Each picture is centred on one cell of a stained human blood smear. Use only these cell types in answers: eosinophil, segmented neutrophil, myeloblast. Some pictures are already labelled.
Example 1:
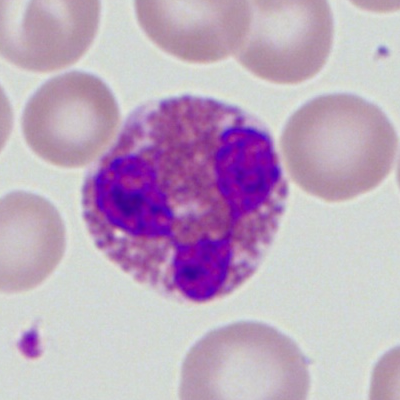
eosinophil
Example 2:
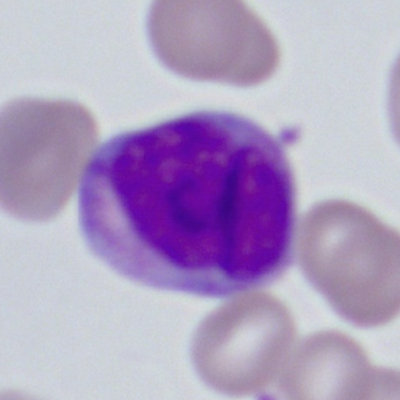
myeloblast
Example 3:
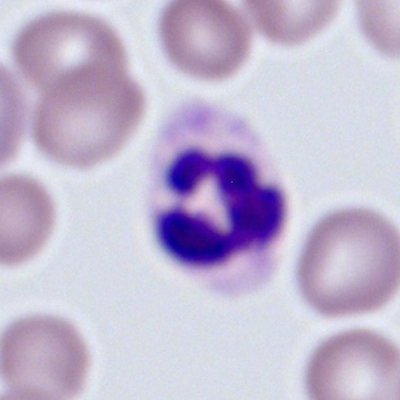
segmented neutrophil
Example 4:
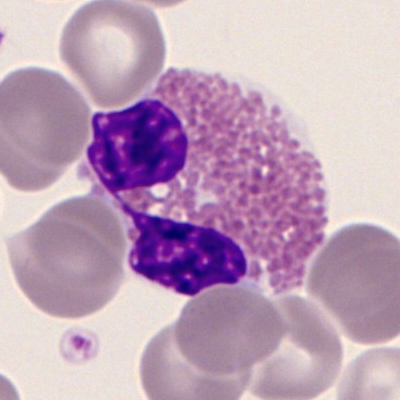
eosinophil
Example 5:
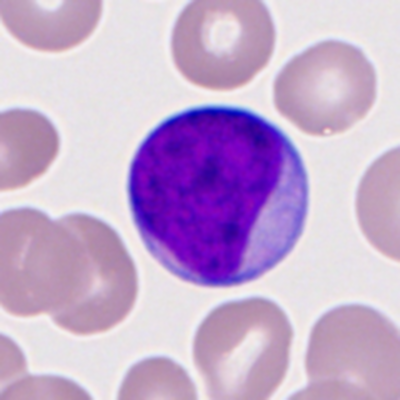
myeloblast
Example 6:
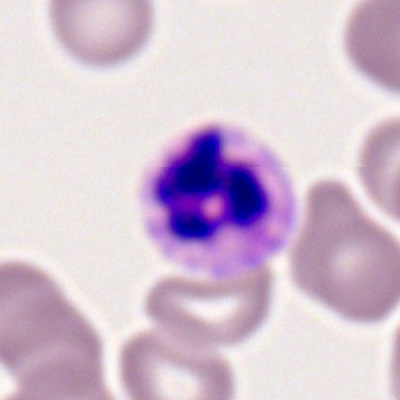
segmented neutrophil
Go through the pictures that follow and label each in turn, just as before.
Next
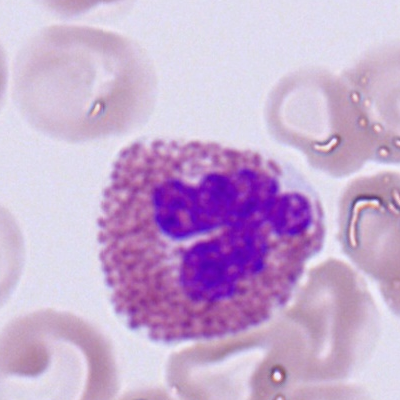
eosinophil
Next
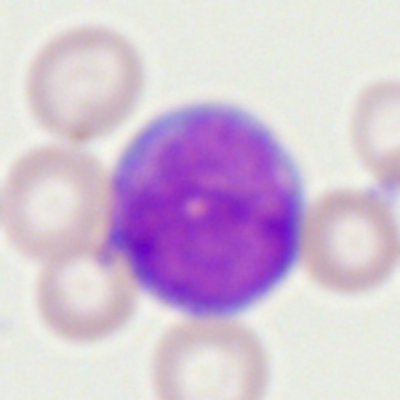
myeloblast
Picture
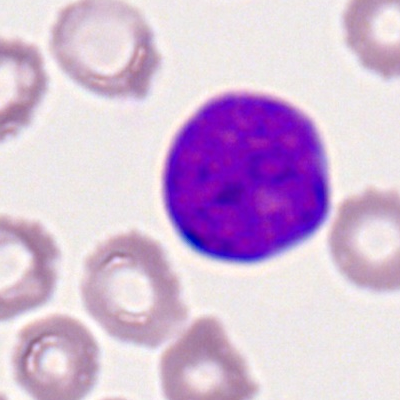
myeloblast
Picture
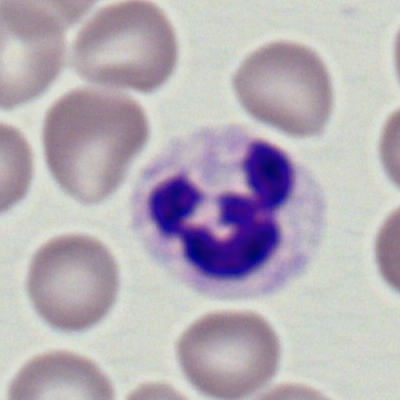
segmented neutrophil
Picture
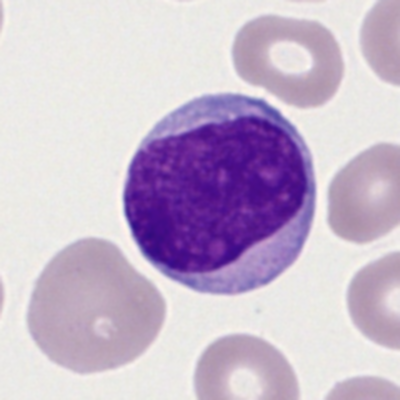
myeloblast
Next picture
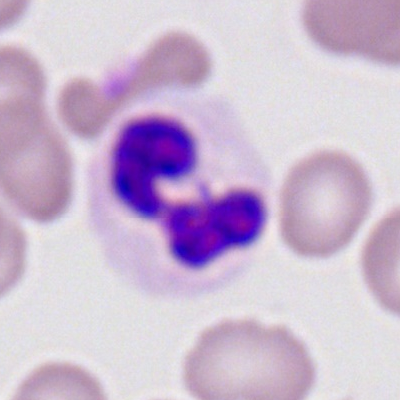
segmented neutrophil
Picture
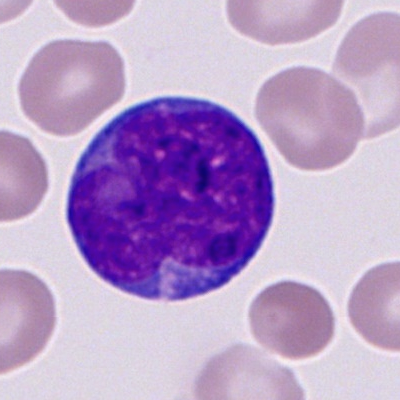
myeloblast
